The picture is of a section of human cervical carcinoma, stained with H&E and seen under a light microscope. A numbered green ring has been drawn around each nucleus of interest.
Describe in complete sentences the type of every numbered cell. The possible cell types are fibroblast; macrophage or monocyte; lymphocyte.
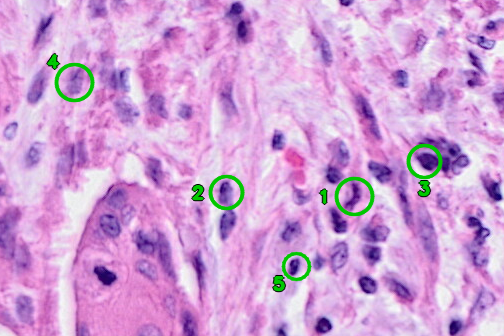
Cell 1 is a macrophage or monocyte. Cells 2, 3 and 5 are lymphocytes. Cell 4 is a fibroblast.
